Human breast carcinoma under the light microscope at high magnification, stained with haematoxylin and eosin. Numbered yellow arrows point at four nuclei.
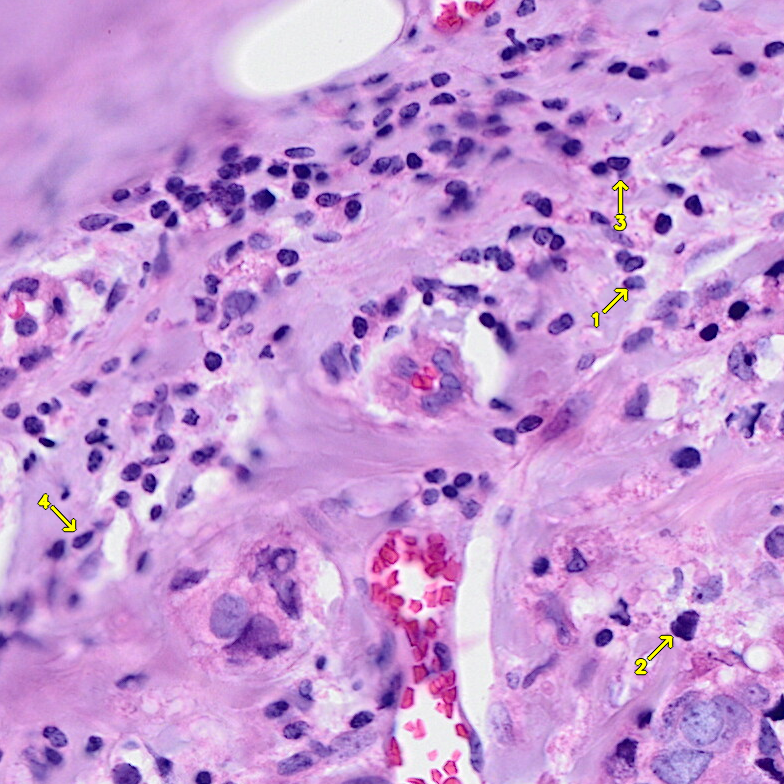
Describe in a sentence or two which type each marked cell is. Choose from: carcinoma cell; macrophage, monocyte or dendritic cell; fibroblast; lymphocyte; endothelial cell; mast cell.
Cell 1 is a lymphocyte, cell 2 is a carcinoma cell, cell 3 is a lymphocyte and cell 4 is a lymphocyte.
